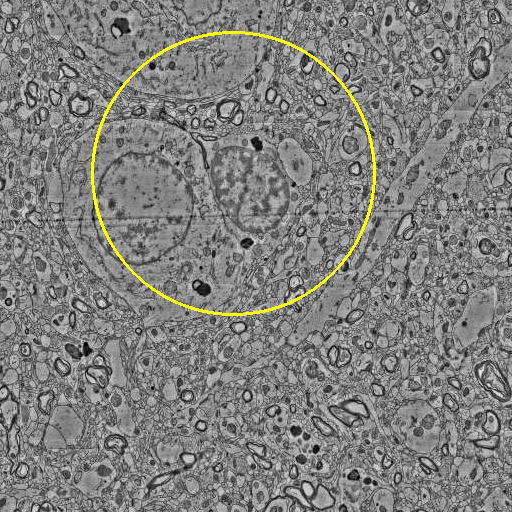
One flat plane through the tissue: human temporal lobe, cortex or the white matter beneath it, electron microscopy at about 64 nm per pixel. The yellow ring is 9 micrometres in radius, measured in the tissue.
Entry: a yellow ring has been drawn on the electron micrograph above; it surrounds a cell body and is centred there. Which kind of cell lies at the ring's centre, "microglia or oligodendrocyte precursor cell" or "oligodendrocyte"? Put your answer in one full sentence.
The cell sitting at the ring's centre is an oligodendrocyte in the micrograph above.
